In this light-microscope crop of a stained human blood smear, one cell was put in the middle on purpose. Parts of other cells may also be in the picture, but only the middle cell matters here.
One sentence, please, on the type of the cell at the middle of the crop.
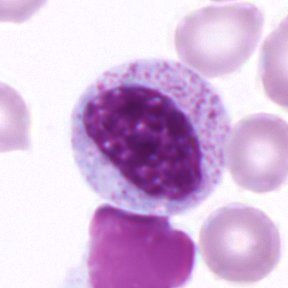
As for the cell in the middle, it is a metamyelocyte.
